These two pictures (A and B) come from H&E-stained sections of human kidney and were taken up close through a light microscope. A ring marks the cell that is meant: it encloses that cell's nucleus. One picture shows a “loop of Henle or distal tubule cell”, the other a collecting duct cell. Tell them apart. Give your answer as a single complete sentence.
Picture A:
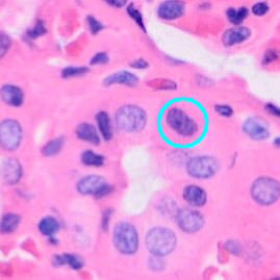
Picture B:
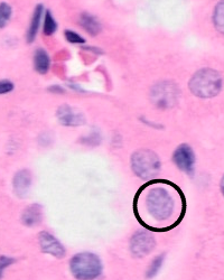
Picture A is of a collecting duct cell, and picture B is of a “loop of Henle or distal tubule cell”.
